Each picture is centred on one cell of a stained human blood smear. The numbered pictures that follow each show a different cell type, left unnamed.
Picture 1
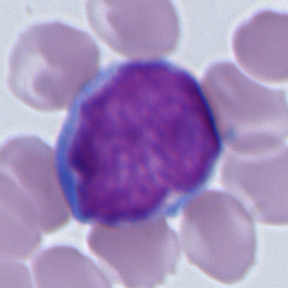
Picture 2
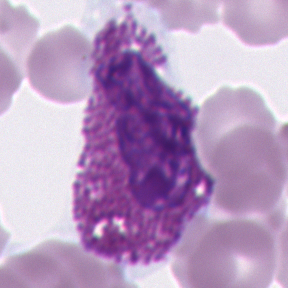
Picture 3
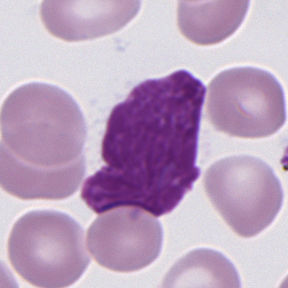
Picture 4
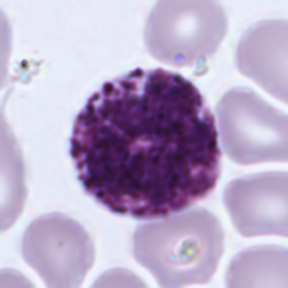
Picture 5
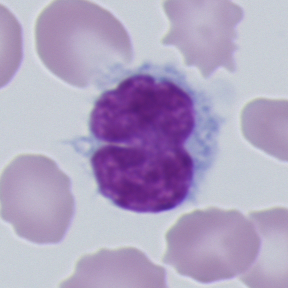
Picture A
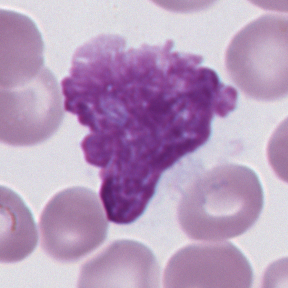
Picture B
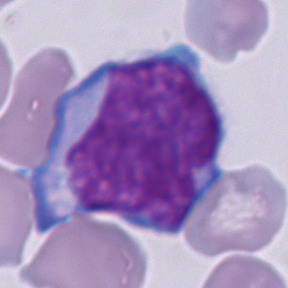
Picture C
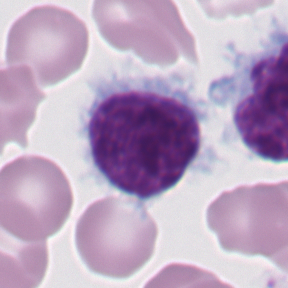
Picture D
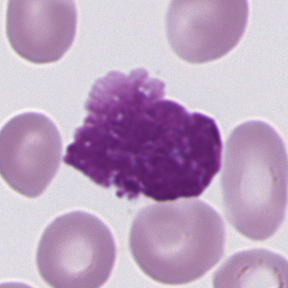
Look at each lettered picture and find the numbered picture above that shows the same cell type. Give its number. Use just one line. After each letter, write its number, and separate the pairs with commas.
A 3, B 1, C 5, D 3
